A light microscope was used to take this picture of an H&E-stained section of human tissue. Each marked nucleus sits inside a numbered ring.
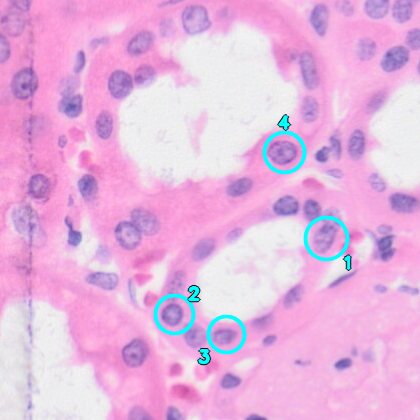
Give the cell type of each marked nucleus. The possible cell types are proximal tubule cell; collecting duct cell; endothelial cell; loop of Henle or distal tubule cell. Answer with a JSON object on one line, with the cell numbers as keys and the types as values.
{"1": "collecting duct cell", "2": "collecting duct cell", "3": "collecting duct cell", "4": "proximal tubule cell"}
